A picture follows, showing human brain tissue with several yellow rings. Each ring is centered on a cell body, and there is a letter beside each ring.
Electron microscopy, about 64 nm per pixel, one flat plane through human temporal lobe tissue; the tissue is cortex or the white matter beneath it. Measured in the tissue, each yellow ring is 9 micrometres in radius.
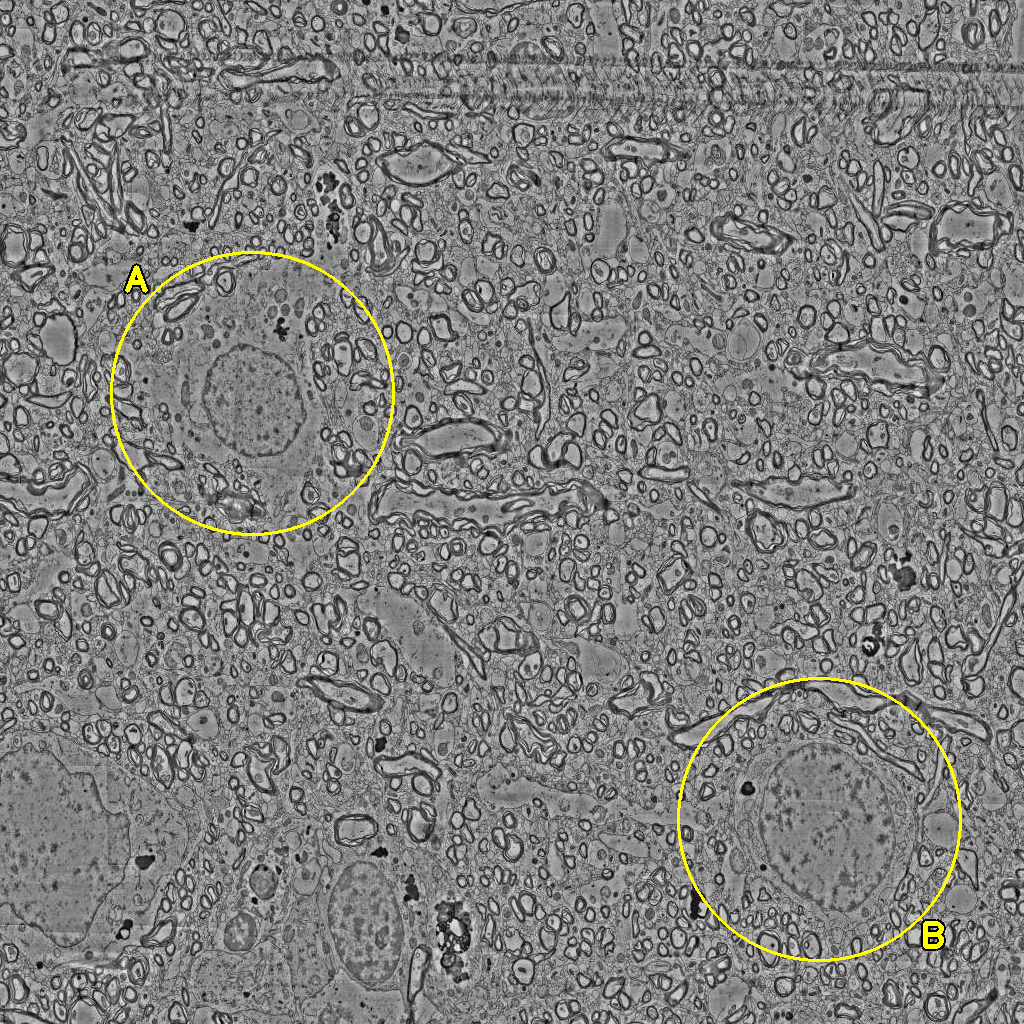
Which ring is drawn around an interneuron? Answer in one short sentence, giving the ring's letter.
Ring B is drawn around it.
